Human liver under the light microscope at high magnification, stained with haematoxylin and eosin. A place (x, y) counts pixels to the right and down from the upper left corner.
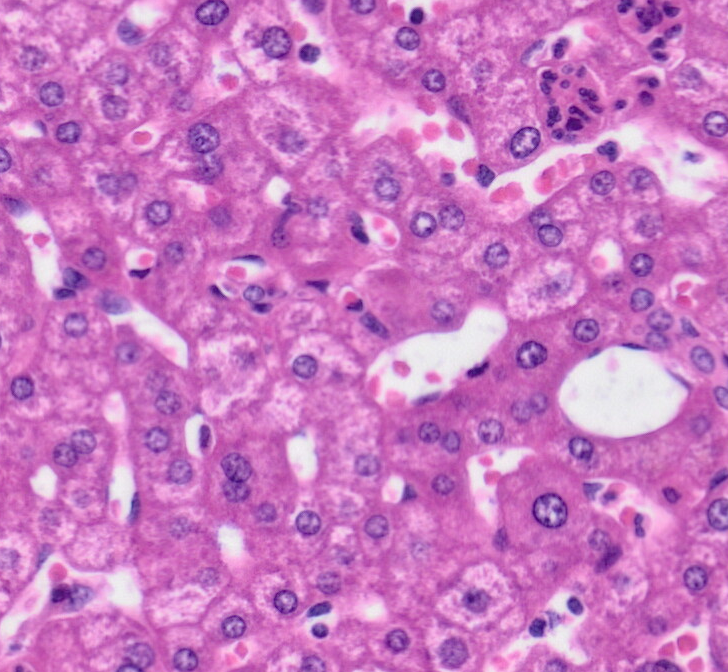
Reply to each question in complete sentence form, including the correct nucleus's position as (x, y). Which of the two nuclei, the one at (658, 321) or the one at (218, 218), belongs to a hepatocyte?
Assigned to a hepatocyte is the nucleus located at (218, 218).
